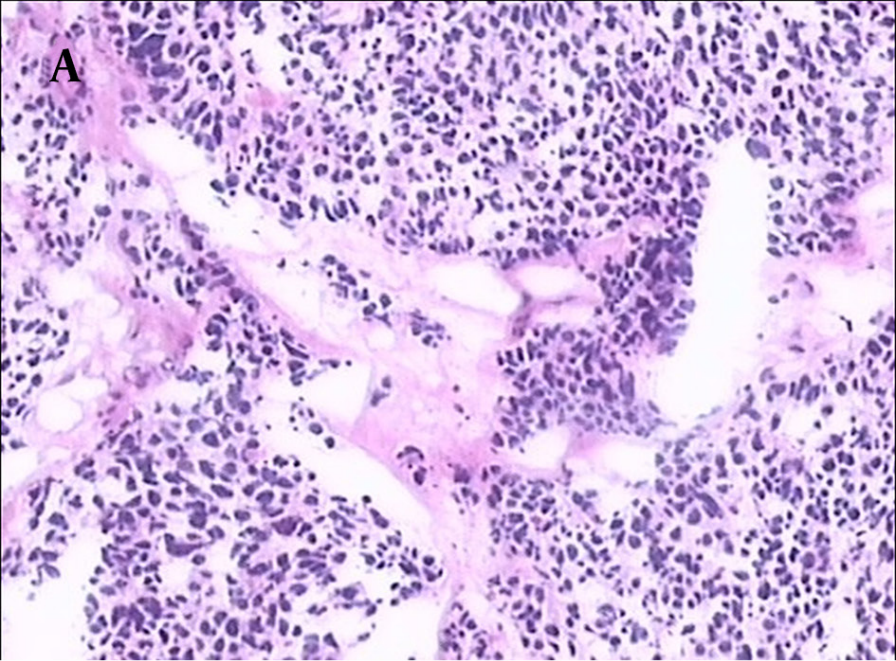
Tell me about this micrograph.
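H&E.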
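Sheets and nests of crowded tumor cells separated by thin pale pink fibrous septa and open spaces. The cells have dark purple nuclei, round to spindle-shaped, with very little cytoplasm, and the nuclei are packed closely together.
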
